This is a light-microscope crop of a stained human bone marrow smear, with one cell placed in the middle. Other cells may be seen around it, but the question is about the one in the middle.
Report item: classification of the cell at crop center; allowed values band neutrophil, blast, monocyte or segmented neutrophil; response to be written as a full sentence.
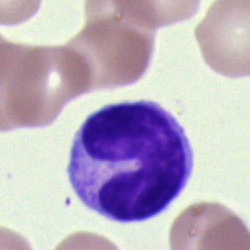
Here the centrally located cell is a band neutrophil.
